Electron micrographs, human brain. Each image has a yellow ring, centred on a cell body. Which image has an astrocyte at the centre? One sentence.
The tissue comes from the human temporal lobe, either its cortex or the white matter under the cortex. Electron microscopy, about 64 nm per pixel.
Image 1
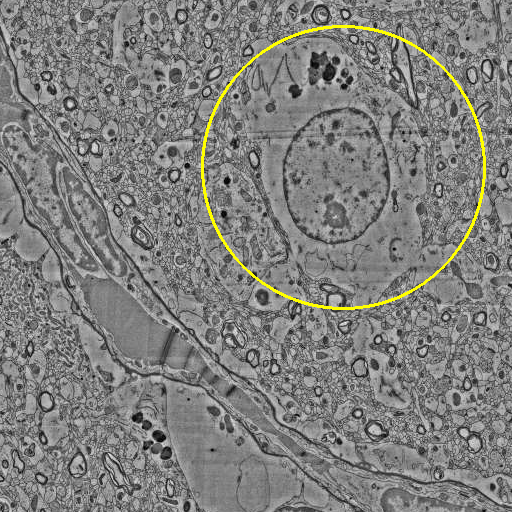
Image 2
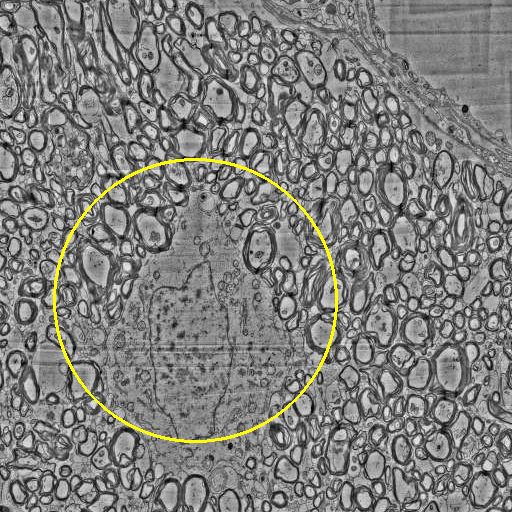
The ring in Image 1 is centred on it.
